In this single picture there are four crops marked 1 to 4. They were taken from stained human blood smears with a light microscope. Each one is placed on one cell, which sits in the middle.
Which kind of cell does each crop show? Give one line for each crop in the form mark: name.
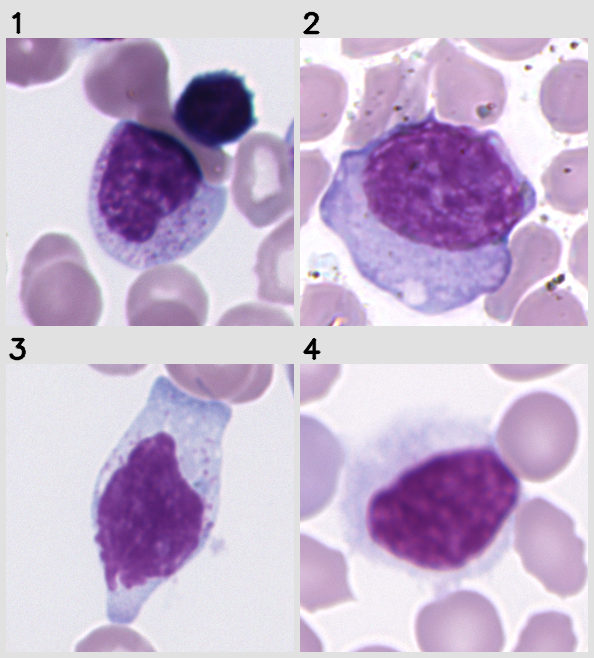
1: myelocyte
2: plasma cell
3: large granular lymphocyte
4: hairy cell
